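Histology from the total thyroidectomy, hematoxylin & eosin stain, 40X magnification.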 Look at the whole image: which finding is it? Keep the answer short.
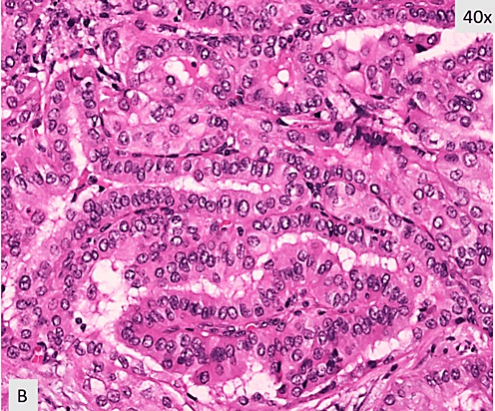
Nuclear enlargement and overlapping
